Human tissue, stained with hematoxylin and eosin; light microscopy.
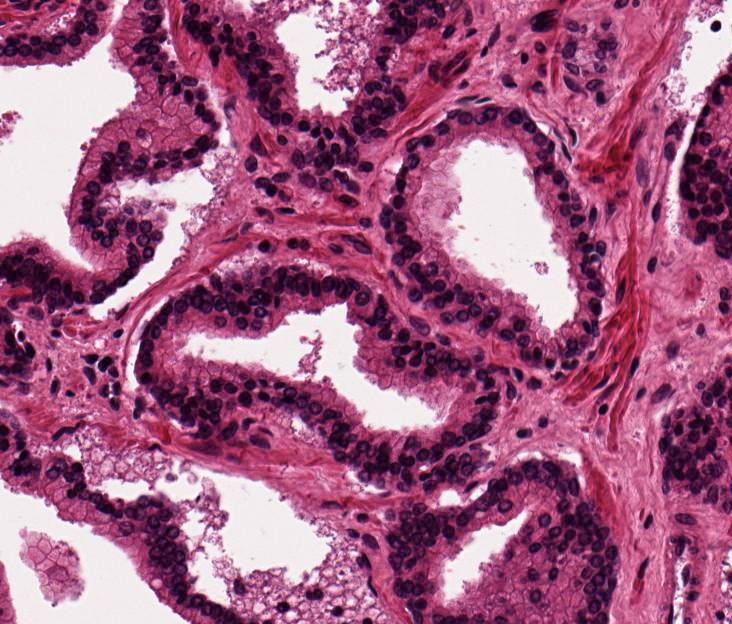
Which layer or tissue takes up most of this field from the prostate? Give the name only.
prostatic gland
